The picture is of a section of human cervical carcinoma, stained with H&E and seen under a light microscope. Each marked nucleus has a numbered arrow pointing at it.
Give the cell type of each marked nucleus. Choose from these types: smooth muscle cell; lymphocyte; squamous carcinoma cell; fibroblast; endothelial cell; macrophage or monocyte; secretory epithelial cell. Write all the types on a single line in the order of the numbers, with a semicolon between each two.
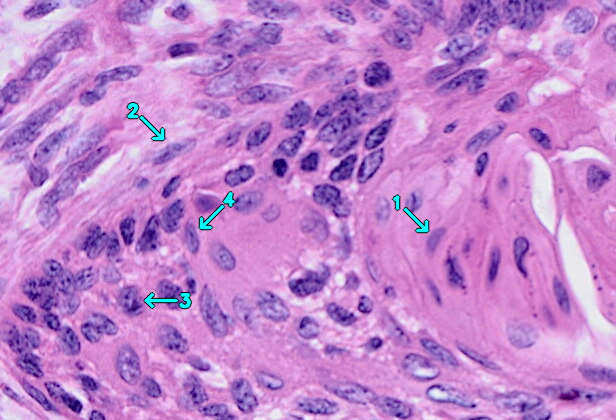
squamous carcinoma cell; fibroblast; squamous carcinoma cell; squamous carcinoma cell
